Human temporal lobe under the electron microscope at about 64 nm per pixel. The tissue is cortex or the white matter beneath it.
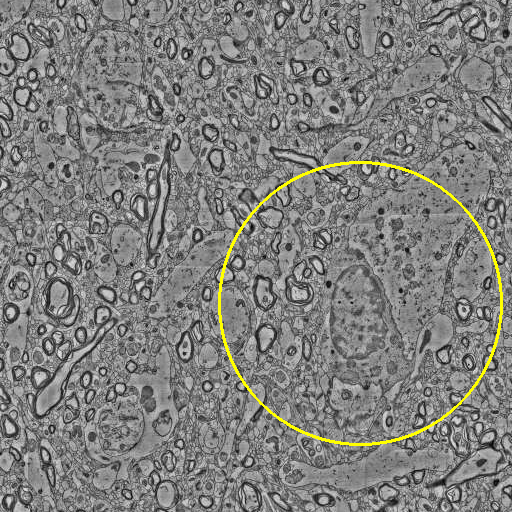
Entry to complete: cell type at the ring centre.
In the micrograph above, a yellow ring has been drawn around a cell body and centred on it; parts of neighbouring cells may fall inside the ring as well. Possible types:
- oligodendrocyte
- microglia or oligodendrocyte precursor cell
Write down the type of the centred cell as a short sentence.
The ring is centred on an oligodendrocyte.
